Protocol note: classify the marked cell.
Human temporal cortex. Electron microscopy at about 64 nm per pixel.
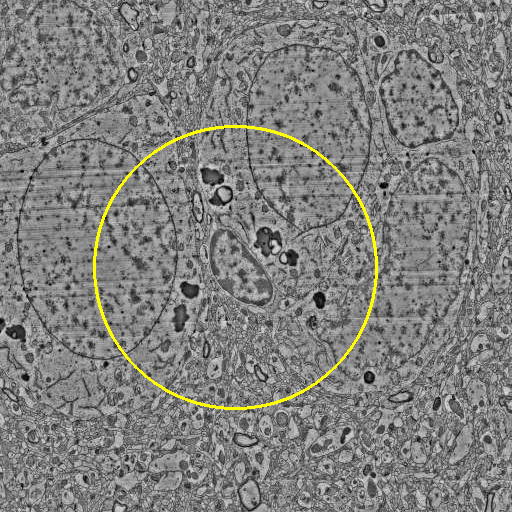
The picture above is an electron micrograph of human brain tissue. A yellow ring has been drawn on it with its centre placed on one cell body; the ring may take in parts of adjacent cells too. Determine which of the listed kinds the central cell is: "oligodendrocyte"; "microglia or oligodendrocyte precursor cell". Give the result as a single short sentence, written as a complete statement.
The central cell is a microglial cell or oligodendrocyte precursor cell.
